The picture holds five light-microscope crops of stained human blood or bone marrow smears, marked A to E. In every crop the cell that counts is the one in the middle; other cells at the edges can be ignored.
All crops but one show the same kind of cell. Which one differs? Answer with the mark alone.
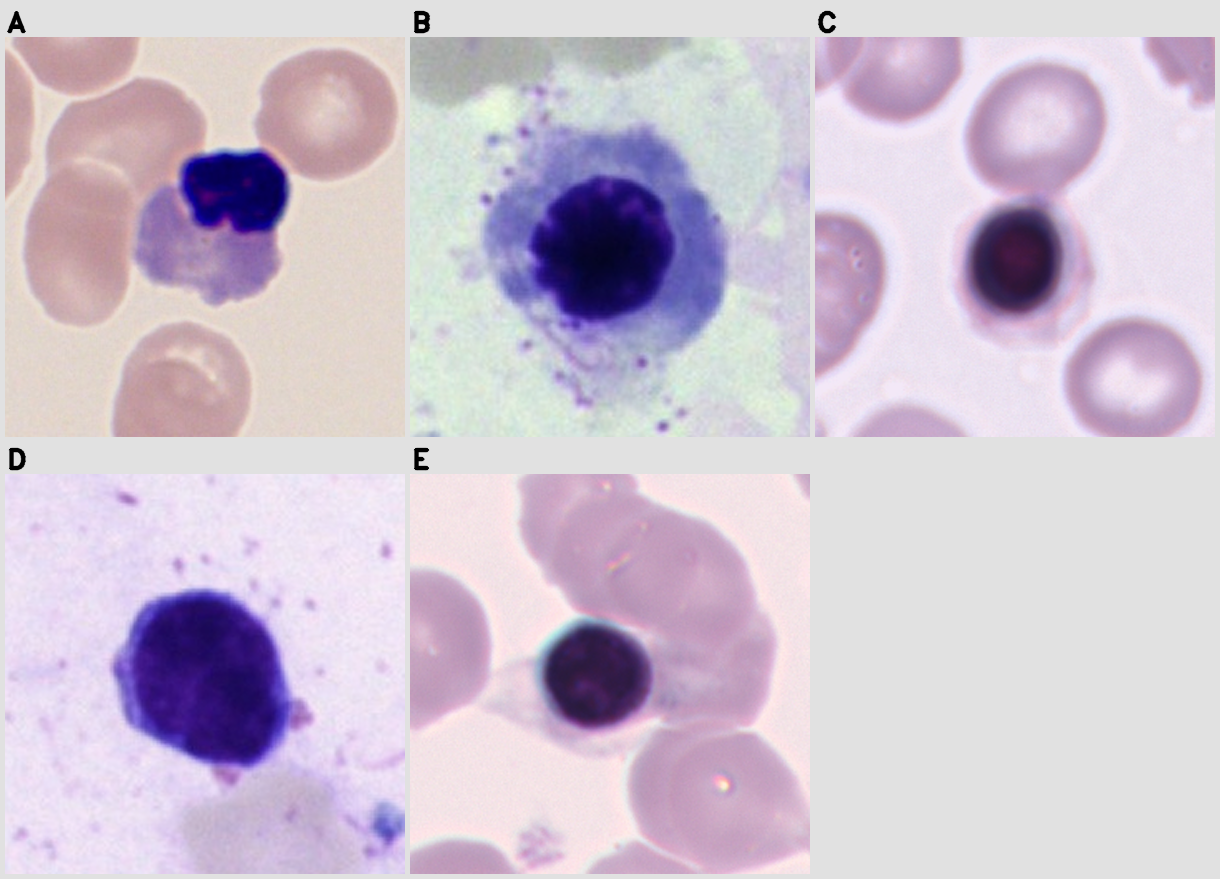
D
